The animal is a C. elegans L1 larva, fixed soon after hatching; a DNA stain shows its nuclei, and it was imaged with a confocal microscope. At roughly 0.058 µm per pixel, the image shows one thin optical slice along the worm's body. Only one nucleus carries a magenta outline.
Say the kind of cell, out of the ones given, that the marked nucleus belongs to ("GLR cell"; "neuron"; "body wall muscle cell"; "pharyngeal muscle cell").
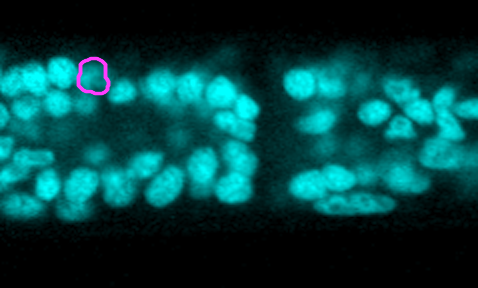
body wall muscle cell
